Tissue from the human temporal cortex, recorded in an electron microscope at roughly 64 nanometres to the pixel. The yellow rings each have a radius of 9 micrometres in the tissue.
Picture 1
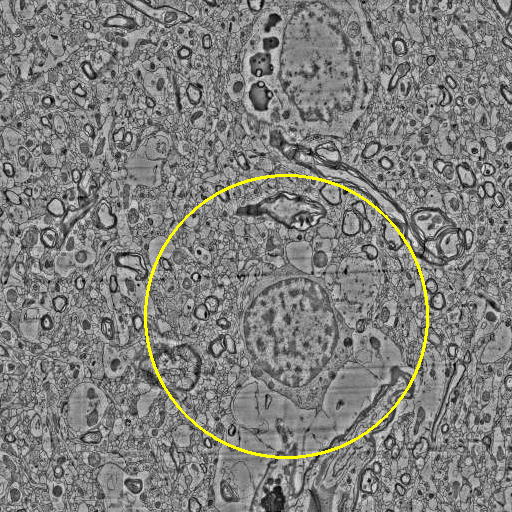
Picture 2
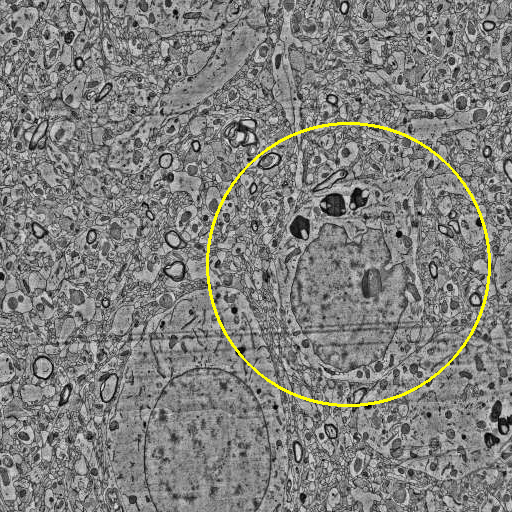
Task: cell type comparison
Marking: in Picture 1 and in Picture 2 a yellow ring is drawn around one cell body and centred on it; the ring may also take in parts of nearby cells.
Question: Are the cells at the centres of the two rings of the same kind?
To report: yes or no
no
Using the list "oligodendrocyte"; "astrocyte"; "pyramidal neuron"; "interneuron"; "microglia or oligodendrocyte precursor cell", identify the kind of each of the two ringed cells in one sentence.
The first is an oligodendrocyte and the second is an interneuron.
